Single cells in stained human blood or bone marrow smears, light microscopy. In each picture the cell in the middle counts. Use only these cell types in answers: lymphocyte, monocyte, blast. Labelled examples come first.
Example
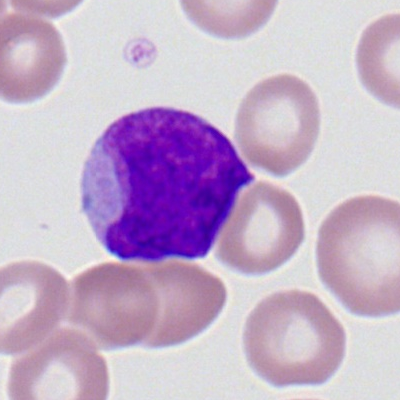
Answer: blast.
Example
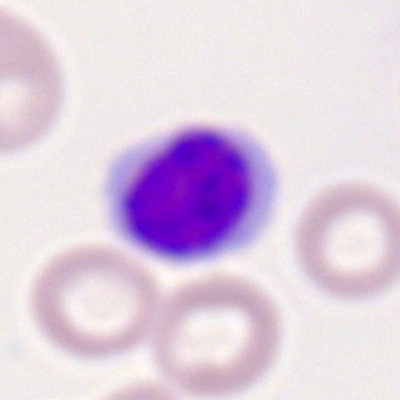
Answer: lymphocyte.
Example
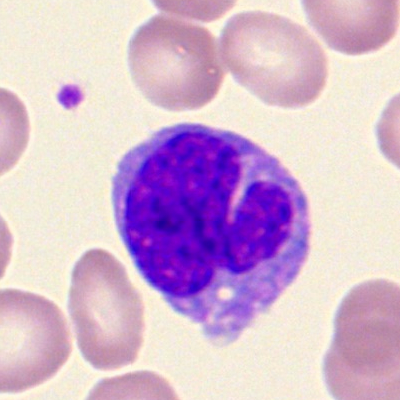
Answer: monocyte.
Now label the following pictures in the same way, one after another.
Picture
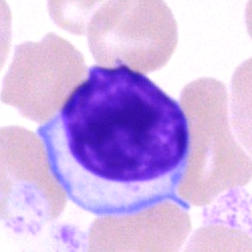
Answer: lymphocyte.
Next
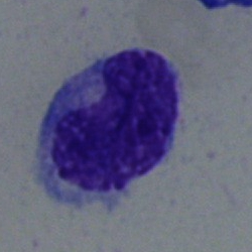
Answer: monocyte.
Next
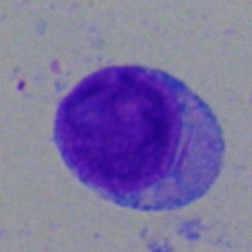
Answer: blast.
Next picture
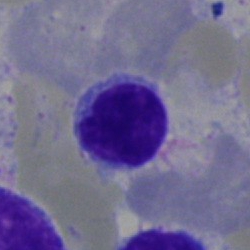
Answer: lymphocyte.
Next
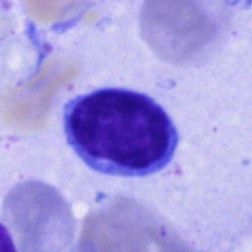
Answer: lymphocyte.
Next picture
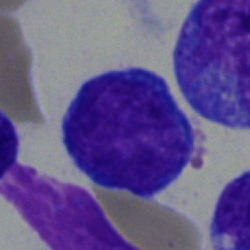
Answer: blast.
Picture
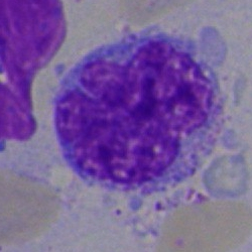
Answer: monocyte.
